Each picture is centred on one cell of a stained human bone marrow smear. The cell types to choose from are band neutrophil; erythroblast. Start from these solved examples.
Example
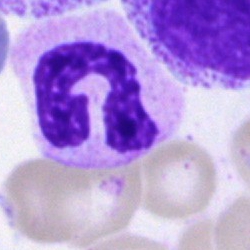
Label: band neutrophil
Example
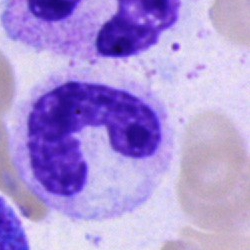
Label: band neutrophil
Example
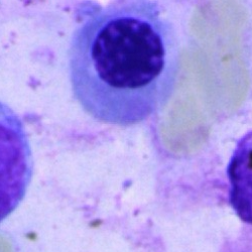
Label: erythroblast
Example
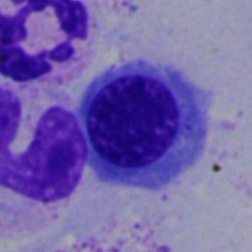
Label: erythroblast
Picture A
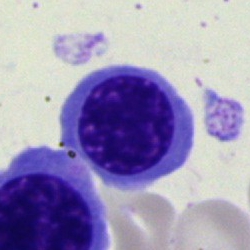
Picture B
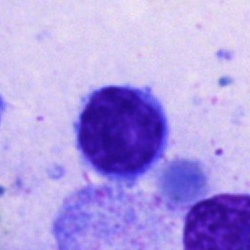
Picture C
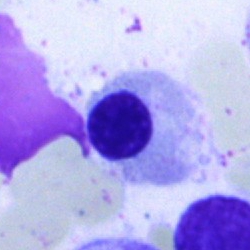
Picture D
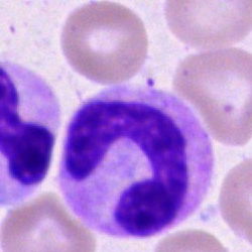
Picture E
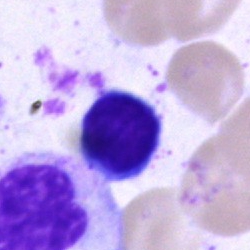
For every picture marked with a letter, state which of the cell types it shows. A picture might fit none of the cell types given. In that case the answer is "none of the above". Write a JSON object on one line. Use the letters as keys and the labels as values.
{"A": "erythroblast", "B": "none of the above", "C": "erythroblast", "D": "band neutrophil", "E": "none of the above"}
